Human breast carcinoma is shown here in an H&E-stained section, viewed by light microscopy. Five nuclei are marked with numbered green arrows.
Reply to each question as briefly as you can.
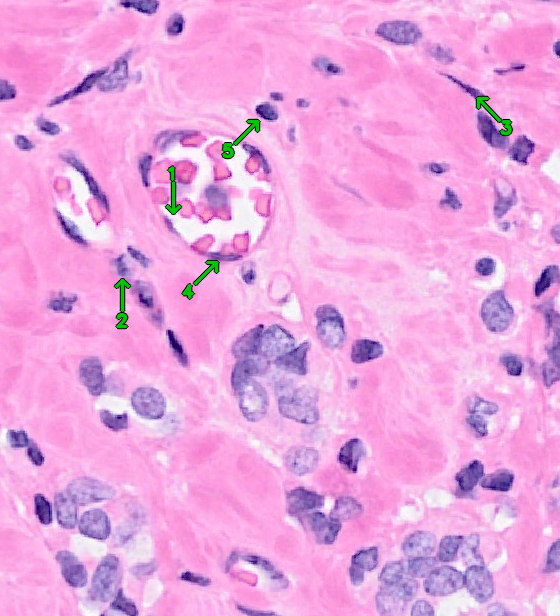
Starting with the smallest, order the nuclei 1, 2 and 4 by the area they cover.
1, 2, 4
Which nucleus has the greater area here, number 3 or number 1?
3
